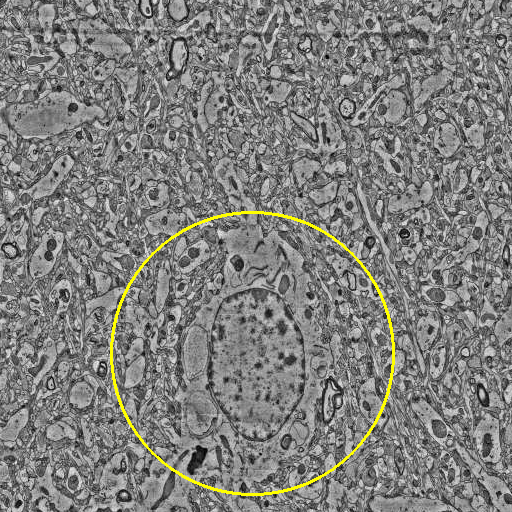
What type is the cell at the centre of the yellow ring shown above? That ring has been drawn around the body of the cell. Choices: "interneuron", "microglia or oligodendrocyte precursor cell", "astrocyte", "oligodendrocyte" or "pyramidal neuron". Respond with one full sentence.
My answer is that an astrocyte lies at the centre of the yellow ring above.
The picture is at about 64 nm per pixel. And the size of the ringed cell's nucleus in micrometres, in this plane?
About 10 by 6 micrometres; in this plane the nucleus is clearly longer than it is wide.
